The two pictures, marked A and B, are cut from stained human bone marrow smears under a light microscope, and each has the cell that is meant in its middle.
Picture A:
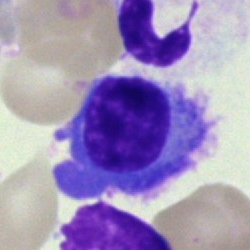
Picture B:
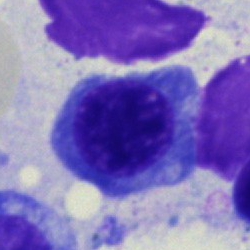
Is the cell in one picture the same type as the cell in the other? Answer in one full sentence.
No, the types are not the same, since picture A shows a plasma cell and picture B an erythroblast.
